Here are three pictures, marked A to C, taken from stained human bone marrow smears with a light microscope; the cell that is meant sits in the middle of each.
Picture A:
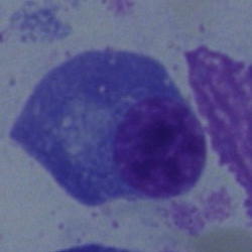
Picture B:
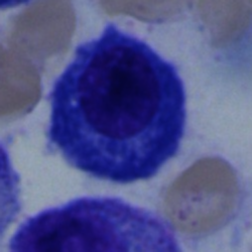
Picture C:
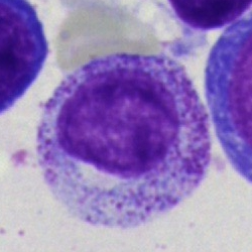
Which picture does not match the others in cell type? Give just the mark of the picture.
C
